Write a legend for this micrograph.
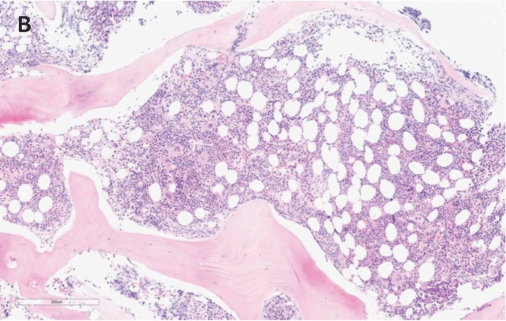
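This low-power view of bone marrow shows pink trabecular bone bordering a marrow space. The space is crowded with purple-staining blood-forming cells, with numerous round clear fat spaces scattered among them.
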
